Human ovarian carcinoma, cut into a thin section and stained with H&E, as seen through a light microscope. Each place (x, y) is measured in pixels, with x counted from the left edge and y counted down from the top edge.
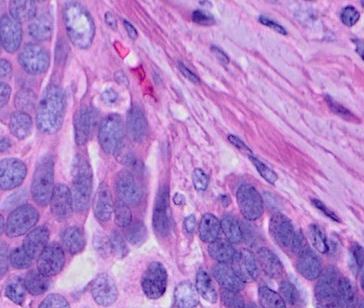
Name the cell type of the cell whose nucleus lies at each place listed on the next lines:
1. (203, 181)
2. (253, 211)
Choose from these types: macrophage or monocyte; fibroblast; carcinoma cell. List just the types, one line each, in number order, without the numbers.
fibroblast
carcinoma cell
